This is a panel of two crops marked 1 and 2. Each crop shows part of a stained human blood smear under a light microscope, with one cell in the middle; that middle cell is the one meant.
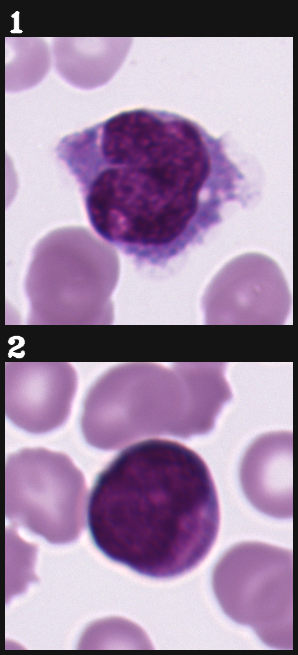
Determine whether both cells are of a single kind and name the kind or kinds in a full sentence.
No, crop 1 holds a monocyte, and a myeloblast occupies crop 2.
